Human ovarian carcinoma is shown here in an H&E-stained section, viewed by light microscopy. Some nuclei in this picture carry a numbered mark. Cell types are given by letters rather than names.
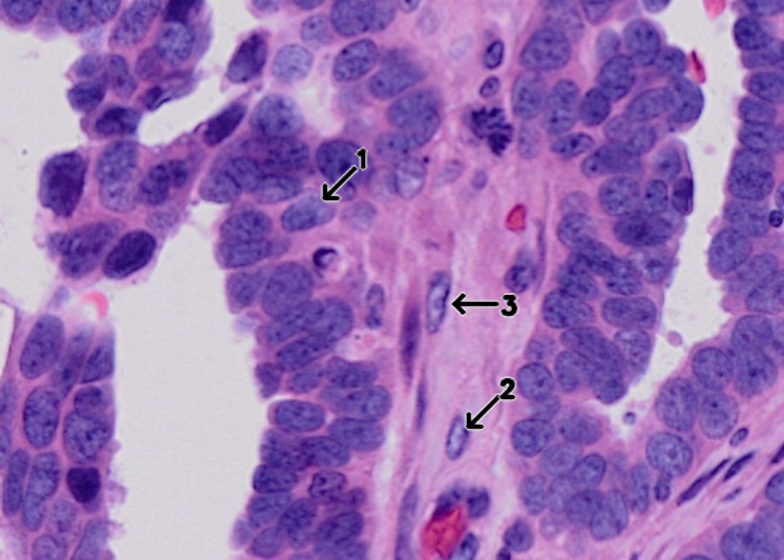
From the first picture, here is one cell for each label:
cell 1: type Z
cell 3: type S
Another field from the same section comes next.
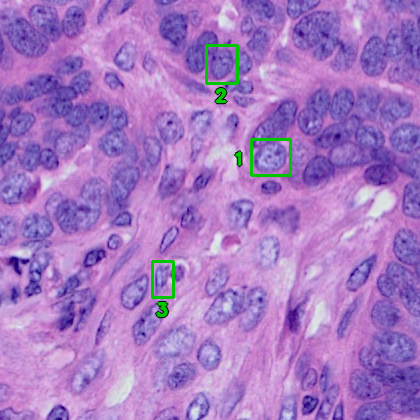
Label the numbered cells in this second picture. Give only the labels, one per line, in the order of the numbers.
type Z
type Z
type S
